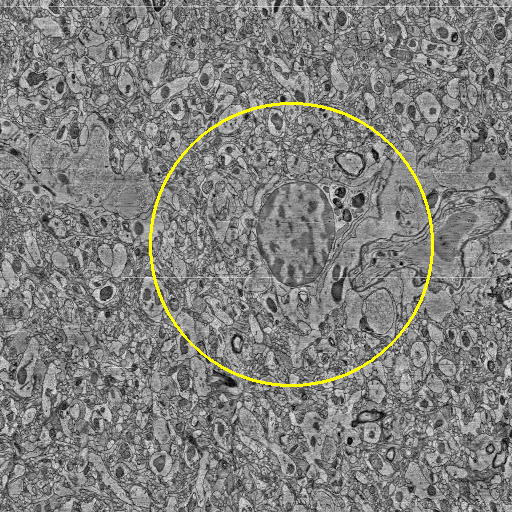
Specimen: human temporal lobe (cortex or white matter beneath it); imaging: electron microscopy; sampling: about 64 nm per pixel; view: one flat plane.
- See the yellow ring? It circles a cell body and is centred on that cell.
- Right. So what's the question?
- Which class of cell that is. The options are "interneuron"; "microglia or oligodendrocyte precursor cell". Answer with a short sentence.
The centre of the ring holds a microglial cell or oligodendrocyte precursor cell.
